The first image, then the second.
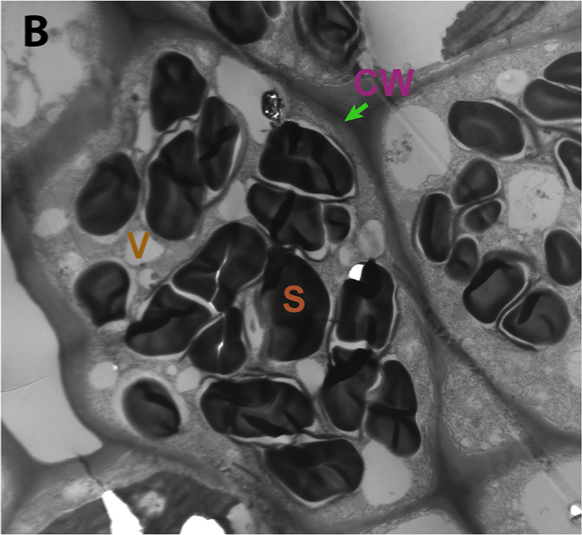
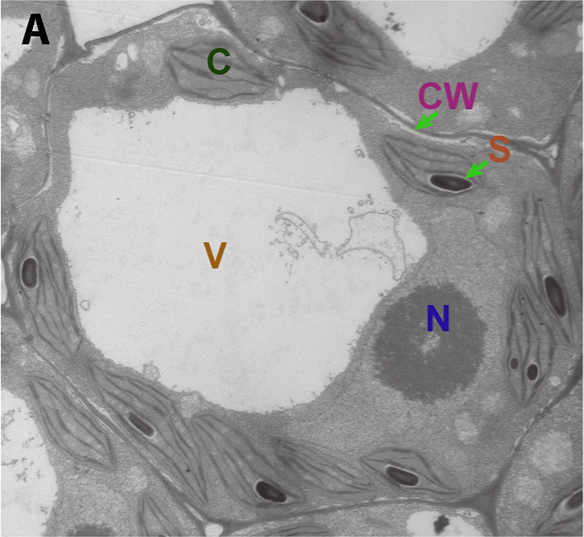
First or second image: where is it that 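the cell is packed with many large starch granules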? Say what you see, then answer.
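First image: the cell interior is crowded with numerous large, dark, rounded granules that fill most of the cell. Second image: only small dark oval granules are seen, one or two inside each chloroplast, and a large pale vacuole takes up much of the cell.
Answer: the first image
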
